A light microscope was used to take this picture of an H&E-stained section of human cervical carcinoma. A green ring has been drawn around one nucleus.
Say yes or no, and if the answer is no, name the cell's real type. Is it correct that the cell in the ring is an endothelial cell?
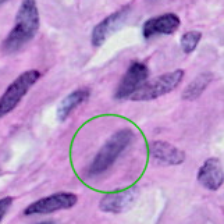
No, it is a fibroblast.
